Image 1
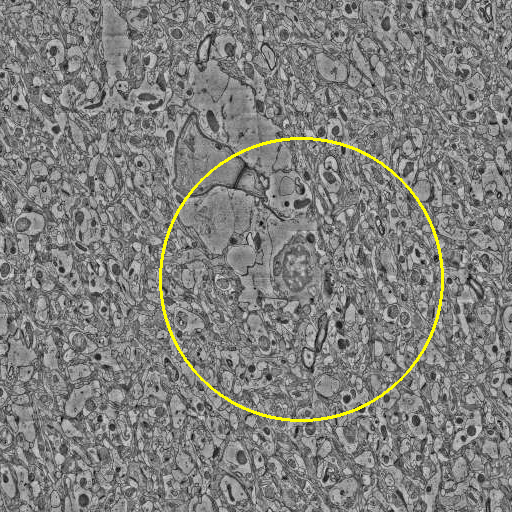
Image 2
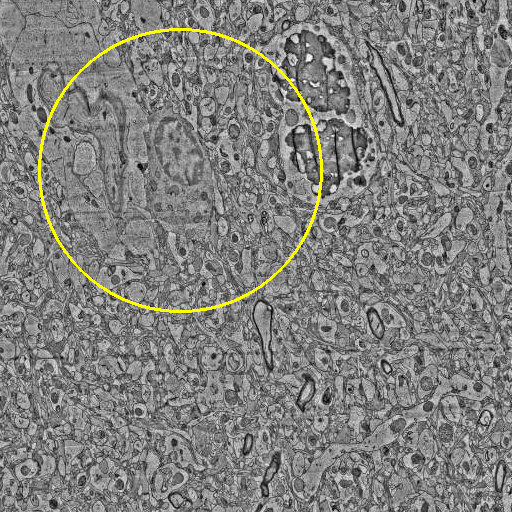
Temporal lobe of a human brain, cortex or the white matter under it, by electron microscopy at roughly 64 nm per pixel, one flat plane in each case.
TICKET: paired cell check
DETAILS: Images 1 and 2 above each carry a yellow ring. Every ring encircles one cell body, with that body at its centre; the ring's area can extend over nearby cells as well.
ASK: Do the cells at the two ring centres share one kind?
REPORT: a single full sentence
Yes, the ring-centre cells of Images 1 and 2 belong to a single kind.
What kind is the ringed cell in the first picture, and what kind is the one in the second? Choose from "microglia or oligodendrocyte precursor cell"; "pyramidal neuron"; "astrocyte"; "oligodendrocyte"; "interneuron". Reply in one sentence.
In the first picture and in the second, the ring is centred on an oligodendrocyte.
